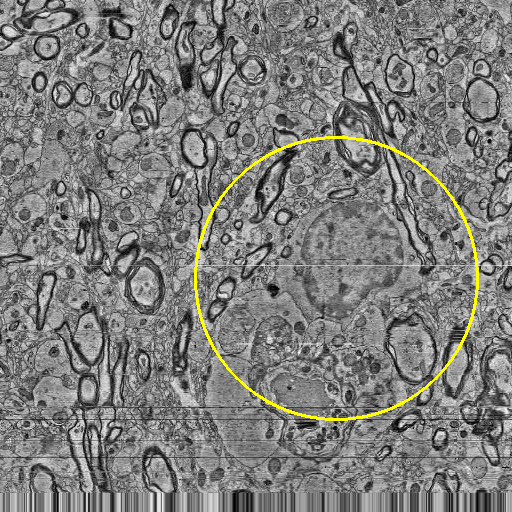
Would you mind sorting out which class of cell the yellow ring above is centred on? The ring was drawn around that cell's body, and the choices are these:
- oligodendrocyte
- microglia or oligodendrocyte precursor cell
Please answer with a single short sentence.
This is the cell body of an oligodendrocyte.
